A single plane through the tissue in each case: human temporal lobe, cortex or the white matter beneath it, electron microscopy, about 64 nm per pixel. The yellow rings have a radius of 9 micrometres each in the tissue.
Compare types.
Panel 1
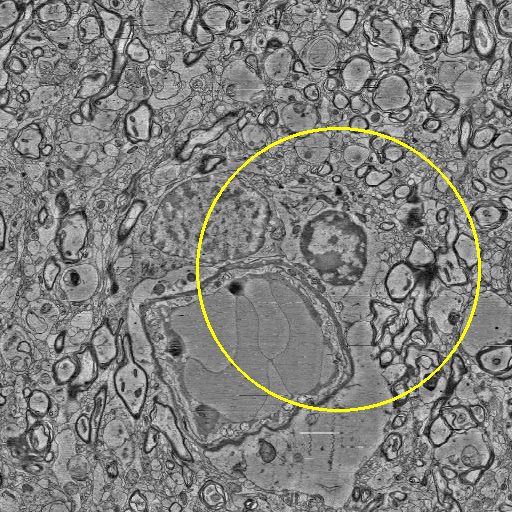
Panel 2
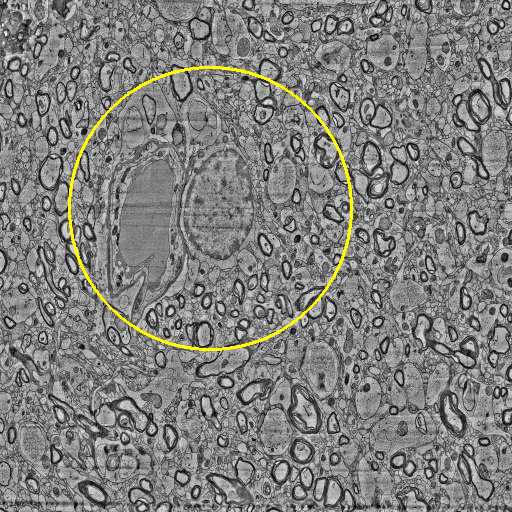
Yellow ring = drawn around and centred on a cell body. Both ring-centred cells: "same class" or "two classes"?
two classes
